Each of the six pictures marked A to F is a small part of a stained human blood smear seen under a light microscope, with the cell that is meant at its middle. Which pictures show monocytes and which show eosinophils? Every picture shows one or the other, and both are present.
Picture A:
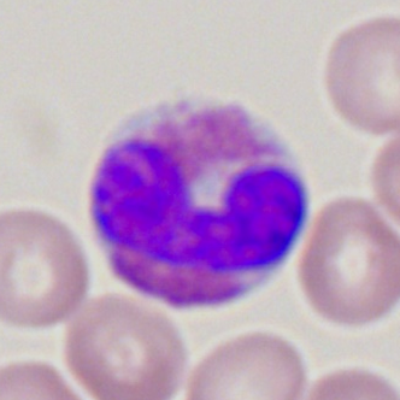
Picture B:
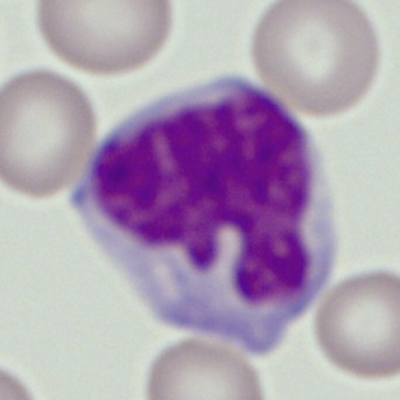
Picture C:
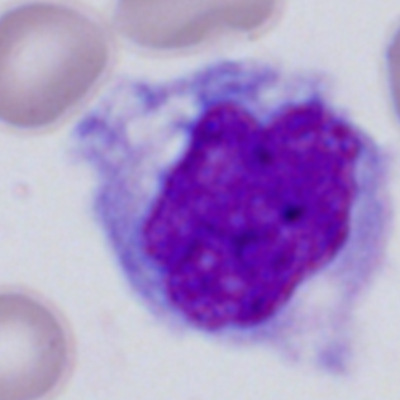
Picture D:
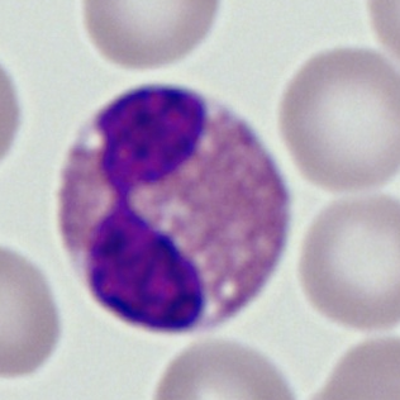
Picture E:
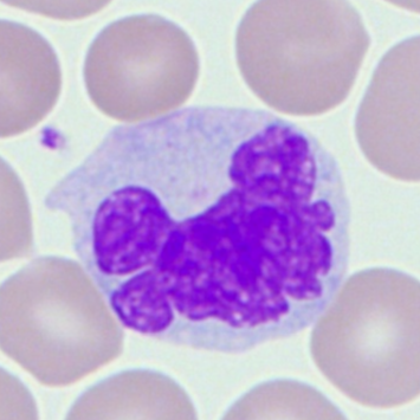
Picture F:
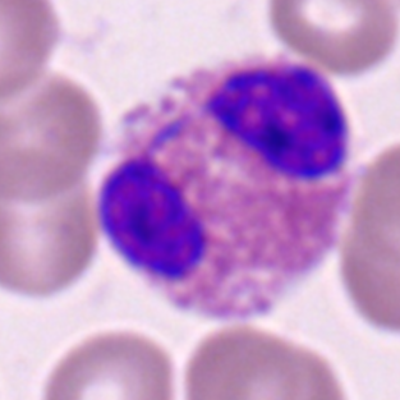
A: eosinophil
B: monocyte
C: monocyte
D: eosinophil
E: monocyte
F: eosinophil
